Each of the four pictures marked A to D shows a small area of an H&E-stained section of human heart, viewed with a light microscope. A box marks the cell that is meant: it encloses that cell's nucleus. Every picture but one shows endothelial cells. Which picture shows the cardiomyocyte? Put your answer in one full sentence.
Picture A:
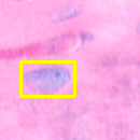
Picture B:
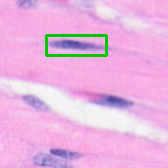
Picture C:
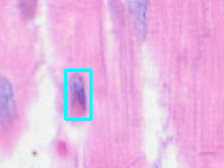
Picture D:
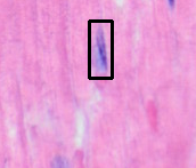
The picture with the cardiomyocyte is A.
